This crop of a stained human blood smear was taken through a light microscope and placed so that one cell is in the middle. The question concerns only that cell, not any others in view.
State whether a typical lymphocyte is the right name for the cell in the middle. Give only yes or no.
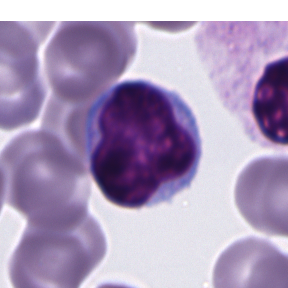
yes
